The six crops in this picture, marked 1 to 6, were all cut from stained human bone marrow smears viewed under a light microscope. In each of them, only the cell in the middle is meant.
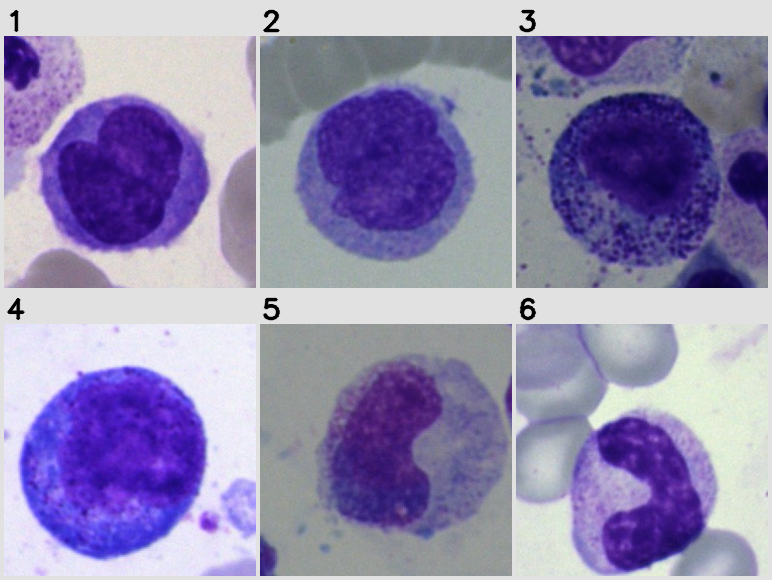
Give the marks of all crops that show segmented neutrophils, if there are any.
none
